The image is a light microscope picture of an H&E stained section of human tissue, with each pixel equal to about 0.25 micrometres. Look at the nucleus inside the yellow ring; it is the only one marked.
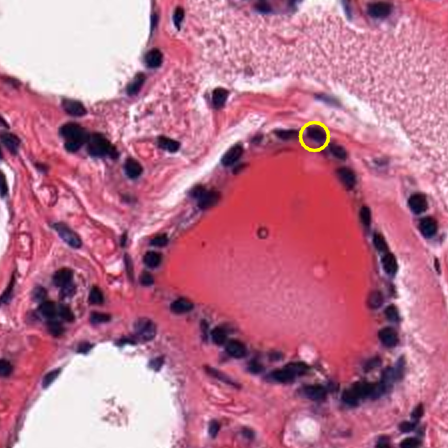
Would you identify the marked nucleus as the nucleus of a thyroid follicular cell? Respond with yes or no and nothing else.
yes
